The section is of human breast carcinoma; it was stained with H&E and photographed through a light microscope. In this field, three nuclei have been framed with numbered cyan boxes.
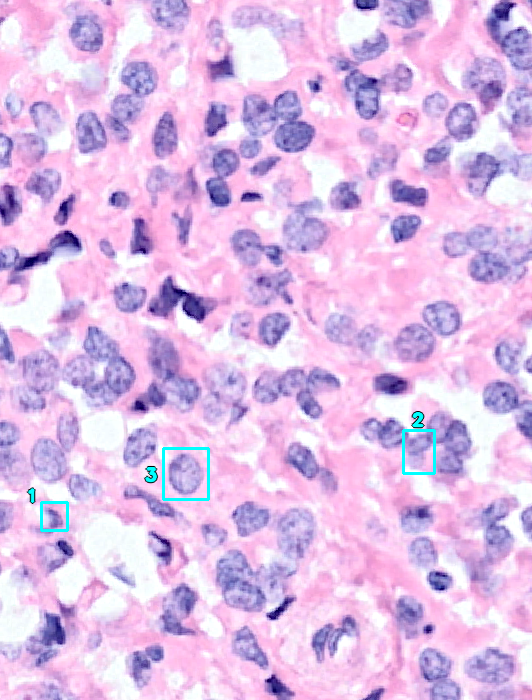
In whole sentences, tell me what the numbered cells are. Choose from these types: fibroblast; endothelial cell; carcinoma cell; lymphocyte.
Cell 1 is an endothelial cell, cell 2 is a carcinoma cell and cell 3 is a carcinoma cell.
